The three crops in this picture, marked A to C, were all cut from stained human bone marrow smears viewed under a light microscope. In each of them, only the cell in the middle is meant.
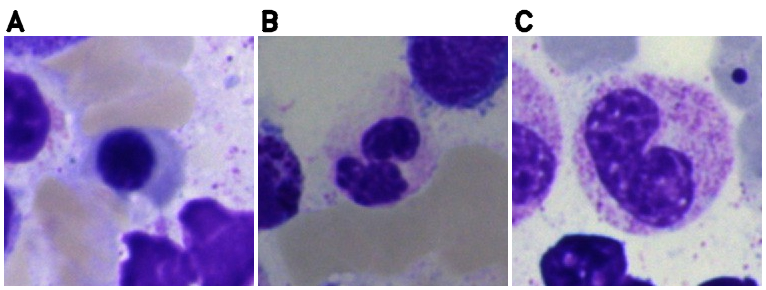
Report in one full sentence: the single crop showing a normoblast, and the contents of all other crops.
In the crop designated A, the cell is a normoblast, while crop B is a segmented neutrophil and crop C is a band neutrophil.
